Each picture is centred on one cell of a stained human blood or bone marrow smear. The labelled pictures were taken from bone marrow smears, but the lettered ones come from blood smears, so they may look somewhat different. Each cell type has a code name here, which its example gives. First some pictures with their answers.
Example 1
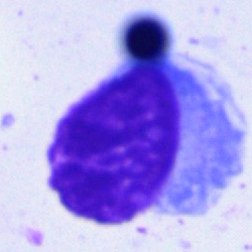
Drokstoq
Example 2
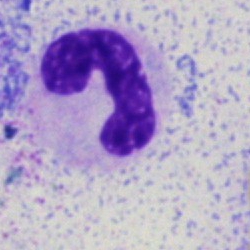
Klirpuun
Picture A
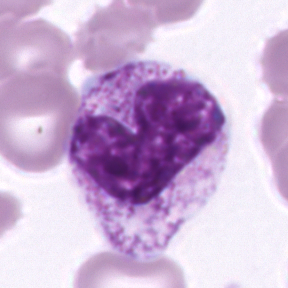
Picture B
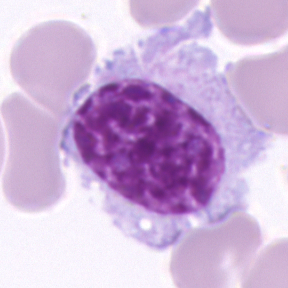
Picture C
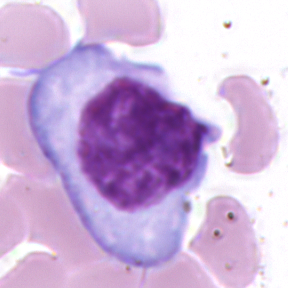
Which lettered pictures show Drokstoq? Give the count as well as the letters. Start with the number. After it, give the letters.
2: B, C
